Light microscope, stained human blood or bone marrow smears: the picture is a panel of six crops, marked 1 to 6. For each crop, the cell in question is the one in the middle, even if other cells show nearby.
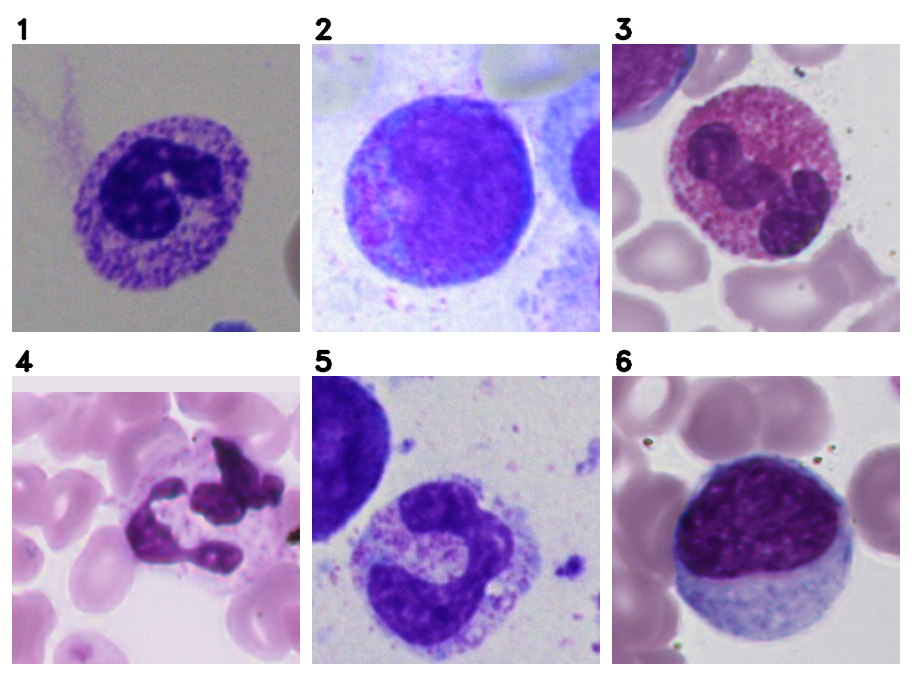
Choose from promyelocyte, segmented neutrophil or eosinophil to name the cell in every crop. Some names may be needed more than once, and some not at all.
1: segmented neutrophil
2: promyelocyte
3: eosinophil
4: segmented neutrophil
5: segmented neutrophil
6: promyelocyte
